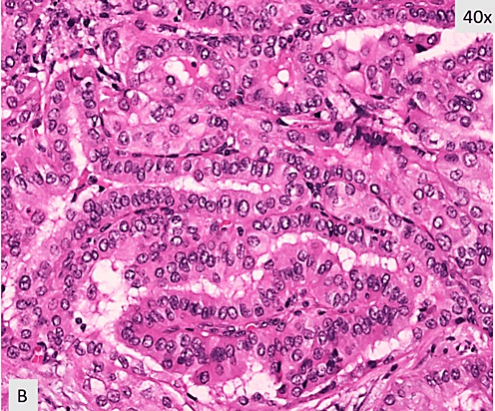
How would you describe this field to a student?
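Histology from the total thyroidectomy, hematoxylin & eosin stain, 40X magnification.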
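Pink-staining epithelial cells line branching glandular and papillary spaces, with thin strands of stroma between them. Their nuclei are large and oval, crowded together and overlapping, and many have pale, cleared-out chromatin bounded by a distinct dark nuclear rim. The cytoplasm is moderately abundant and eosinophilic, and some spaces hold pale, bubbly material. These nuclear changes in thyroid epithelium are those of papillary thyroid carcinoma.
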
